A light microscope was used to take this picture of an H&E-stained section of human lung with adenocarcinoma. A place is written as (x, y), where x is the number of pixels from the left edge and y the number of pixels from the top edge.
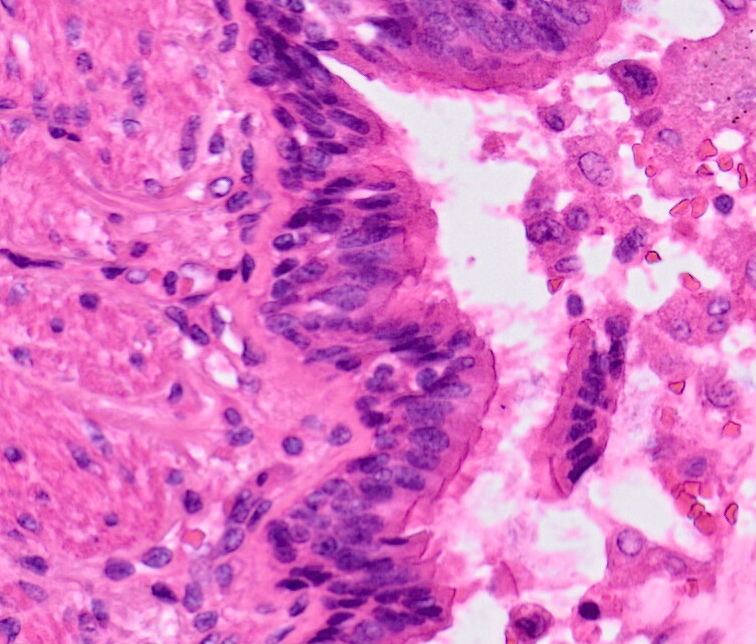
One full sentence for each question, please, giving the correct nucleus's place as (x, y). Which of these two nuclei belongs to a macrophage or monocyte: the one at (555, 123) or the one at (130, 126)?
Located at (555, 123), this nucleus is the one belonging to a macrophage or monocyte.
